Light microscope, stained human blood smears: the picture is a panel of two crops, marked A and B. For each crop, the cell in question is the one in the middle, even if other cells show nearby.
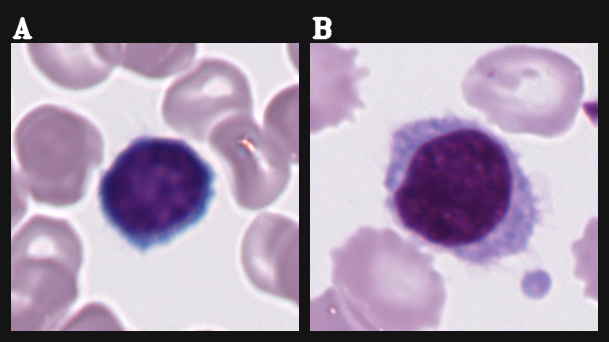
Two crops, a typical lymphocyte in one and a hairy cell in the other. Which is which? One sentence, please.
The central cell of crop A is a typical lymphocyte, and that of crop B is a hairy cell.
